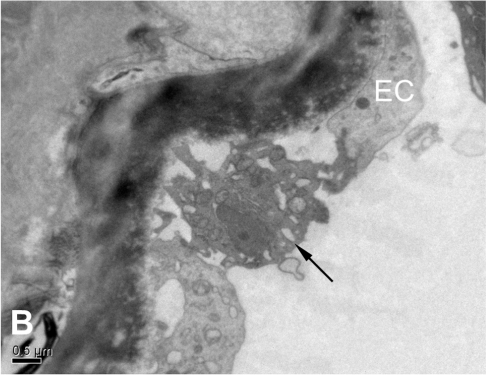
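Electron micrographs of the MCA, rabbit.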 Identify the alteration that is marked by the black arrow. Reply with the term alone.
pyknotic cell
